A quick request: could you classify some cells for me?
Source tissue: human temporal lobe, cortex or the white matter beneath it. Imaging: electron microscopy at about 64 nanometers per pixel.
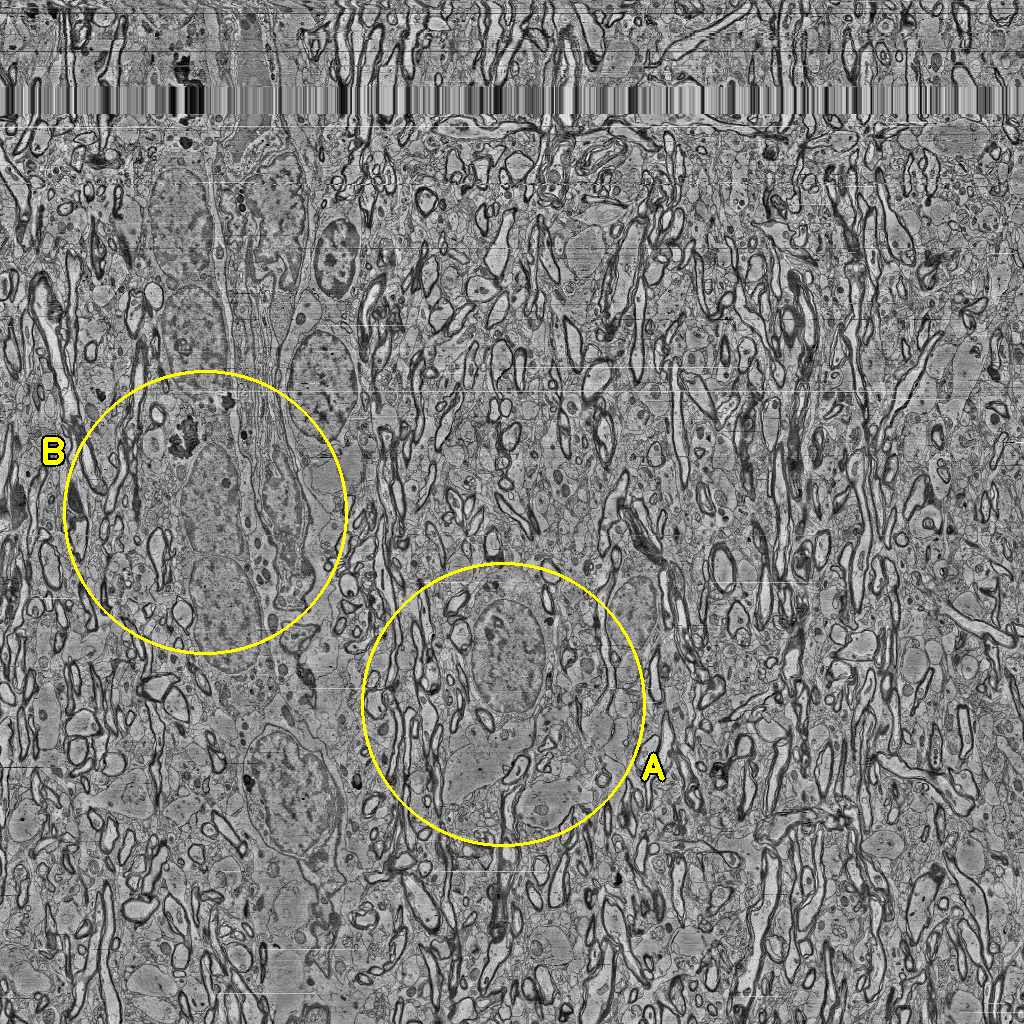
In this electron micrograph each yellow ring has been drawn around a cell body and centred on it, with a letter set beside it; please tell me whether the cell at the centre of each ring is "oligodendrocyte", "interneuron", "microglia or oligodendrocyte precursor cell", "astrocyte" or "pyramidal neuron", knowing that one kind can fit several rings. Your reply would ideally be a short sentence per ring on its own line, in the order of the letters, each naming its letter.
Ring A has an oligodendrocyte at its centre.
Ring B has an oligodendrocyte at its centre.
